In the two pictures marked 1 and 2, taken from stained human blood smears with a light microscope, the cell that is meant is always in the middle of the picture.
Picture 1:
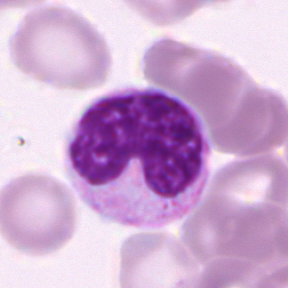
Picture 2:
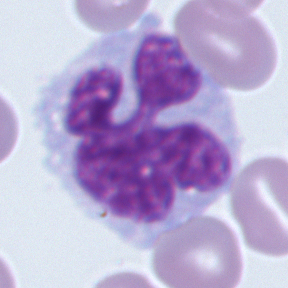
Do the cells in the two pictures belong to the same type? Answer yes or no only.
no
